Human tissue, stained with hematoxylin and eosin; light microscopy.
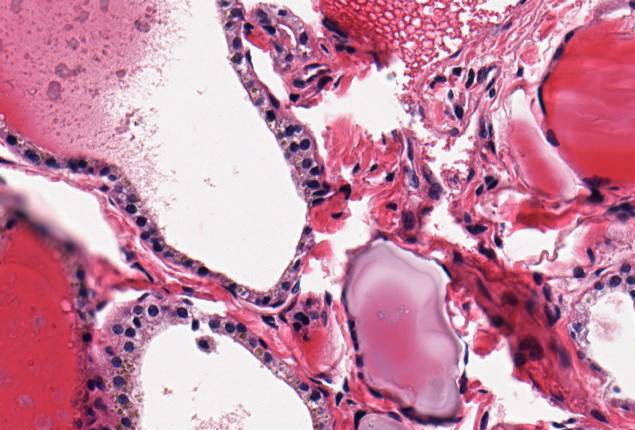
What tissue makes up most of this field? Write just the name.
thyroid follicle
